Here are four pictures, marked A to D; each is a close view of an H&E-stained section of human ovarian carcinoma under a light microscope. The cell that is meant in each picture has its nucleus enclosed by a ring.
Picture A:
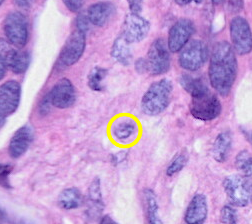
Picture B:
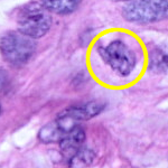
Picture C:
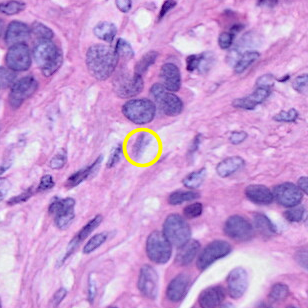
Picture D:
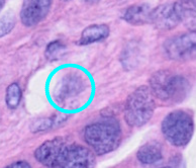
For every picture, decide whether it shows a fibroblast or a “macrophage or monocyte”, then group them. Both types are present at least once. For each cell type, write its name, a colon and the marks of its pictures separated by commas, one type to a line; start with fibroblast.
fibroblast: C, D
macrophage or monocyte: A, B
